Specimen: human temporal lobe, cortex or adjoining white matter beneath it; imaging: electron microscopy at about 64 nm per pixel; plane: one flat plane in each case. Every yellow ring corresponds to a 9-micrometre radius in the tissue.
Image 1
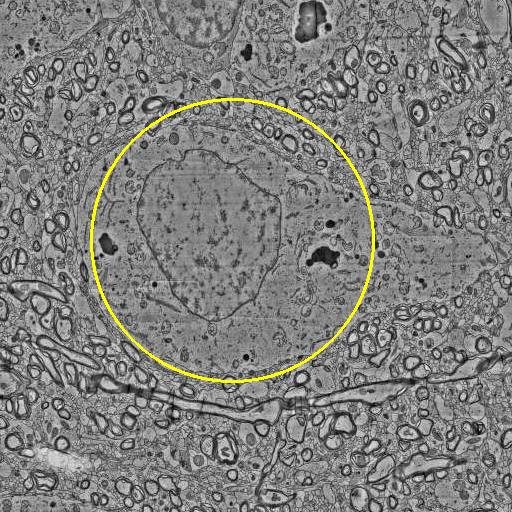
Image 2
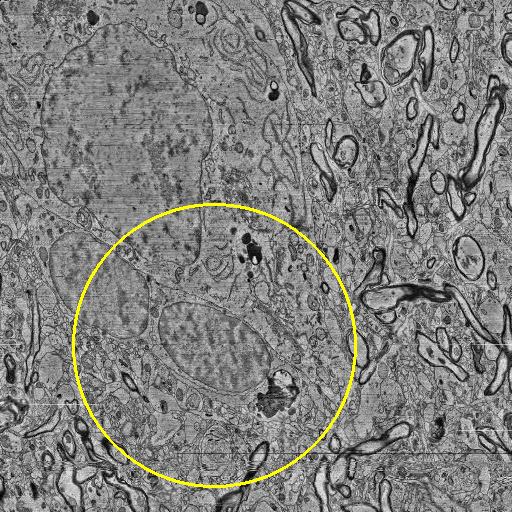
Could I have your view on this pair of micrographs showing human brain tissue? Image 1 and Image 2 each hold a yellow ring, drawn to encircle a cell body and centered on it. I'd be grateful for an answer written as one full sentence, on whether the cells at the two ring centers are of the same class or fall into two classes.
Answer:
The cells at the centers of the two rings fall into two classes.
